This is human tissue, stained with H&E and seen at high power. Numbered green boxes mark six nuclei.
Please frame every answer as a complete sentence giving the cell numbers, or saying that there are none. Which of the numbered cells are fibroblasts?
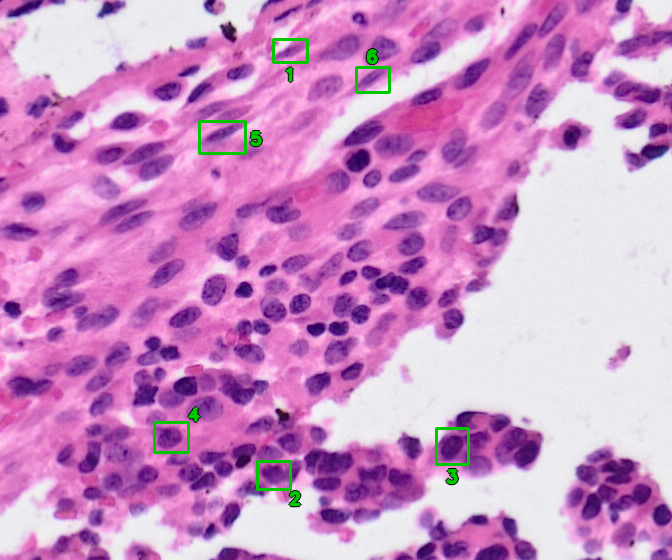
Cells that were given the numbers 1, 5 and 6 are fibroblasts.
